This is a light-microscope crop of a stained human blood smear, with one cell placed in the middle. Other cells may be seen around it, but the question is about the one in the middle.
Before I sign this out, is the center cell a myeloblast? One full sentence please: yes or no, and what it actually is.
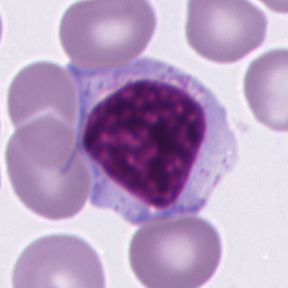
No, the correct answer for the middle cell is a large granular lymphocyte, not a myeloblast.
